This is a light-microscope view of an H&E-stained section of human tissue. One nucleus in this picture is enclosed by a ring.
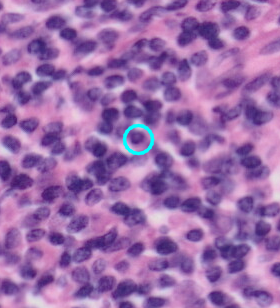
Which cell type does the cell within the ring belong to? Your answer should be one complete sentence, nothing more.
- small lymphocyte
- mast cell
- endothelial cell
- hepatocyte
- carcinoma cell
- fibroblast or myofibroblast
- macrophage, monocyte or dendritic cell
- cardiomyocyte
By its classification, the cell within the ring is a small lymphocyte.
